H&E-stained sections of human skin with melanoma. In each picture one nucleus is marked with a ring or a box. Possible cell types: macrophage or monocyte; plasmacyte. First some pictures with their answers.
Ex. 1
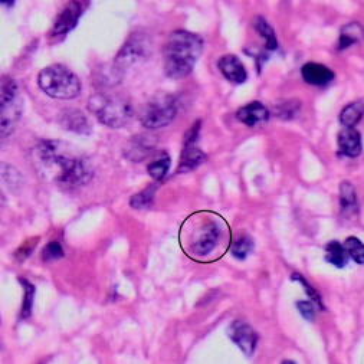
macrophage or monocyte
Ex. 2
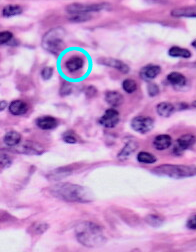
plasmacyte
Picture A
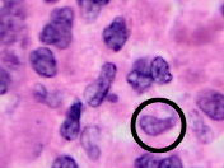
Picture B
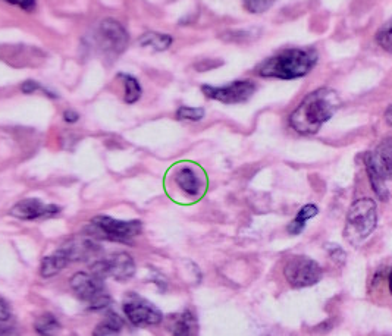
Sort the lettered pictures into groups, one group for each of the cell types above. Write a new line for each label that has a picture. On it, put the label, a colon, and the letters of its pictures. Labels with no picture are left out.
macrophage or monocyte: A, B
